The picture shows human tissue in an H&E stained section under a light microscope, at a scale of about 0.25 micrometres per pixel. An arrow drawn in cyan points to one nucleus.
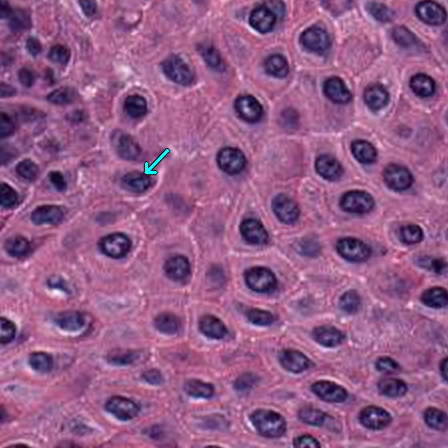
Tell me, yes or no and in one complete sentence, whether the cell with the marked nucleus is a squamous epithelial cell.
Yes, the marked nucleus is identified as that of a squamous epithelial cell.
